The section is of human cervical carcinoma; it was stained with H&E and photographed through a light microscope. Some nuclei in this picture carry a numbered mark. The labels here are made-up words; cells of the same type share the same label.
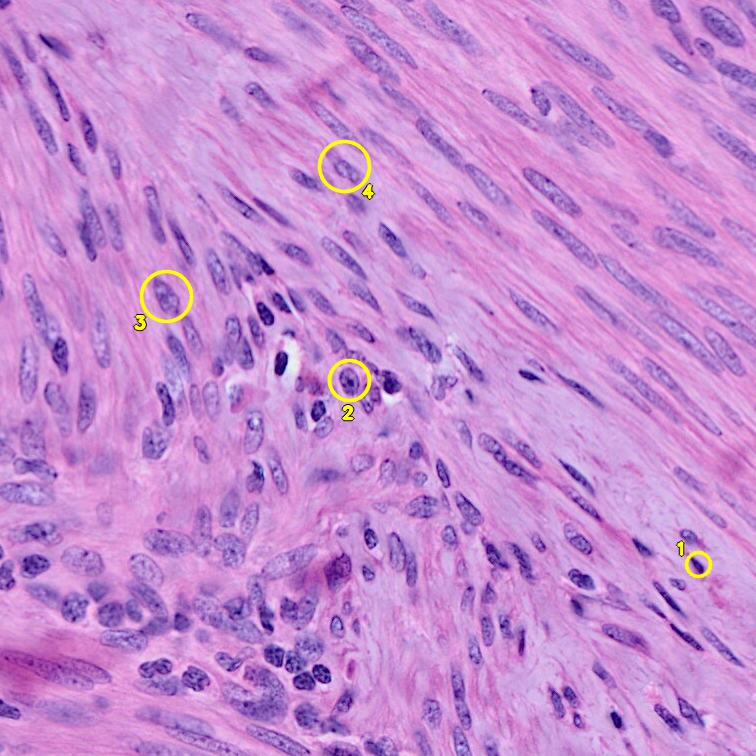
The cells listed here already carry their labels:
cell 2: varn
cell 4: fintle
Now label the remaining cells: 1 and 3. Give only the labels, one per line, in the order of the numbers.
fintle
fintle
